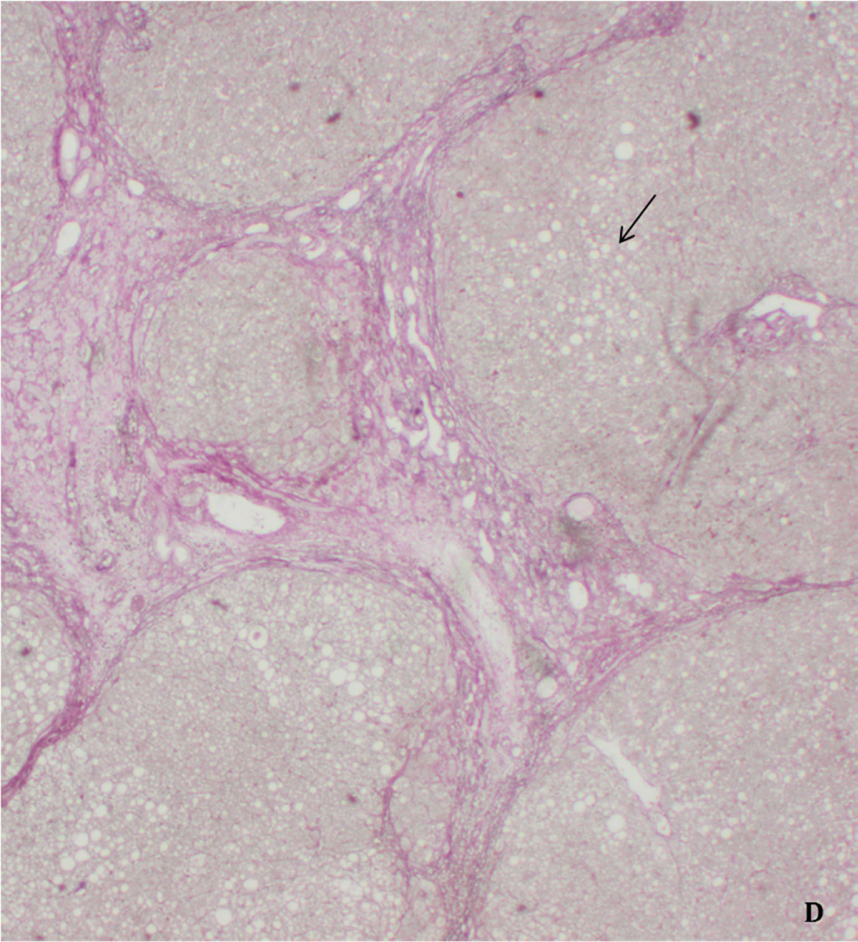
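This is cirrhotic liver in which rounded nodules of hepatocytes are separated by broad fibrous bands stained pink-purple. Within the nodules the hepatocytes hold many round, clear vacuoles of varying size, the picture of steatosis. The vacuoles are unevenly spread, more numerous in some nodules and areas than in others. The normal lobular arrangement is replaced by this nodular architecture.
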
